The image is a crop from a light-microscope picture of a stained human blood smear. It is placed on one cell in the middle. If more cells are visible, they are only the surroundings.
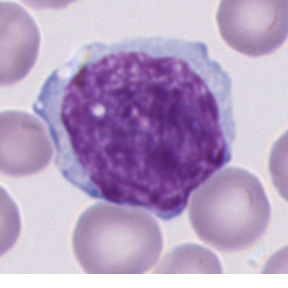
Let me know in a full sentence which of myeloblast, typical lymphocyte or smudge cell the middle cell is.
Looking at the middle of the crop, the cell there is a myeloblast.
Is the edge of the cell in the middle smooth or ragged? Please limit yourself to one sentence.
A smooth outline is absent here, replaced by ragged stretches or projections.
